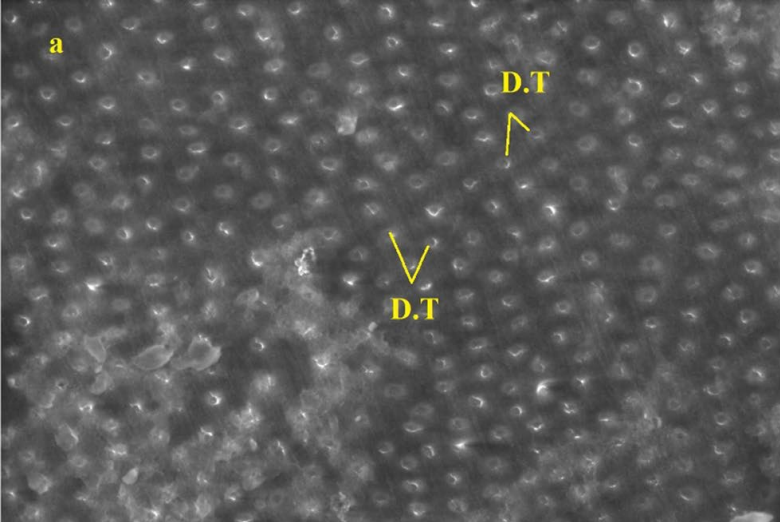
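This is a dentin surface seen from above, covered with the round openings of open dentinal tubules. The openings are densely packed and fairly evenly spaced across most of the field. Towards the lower left the surface is partly covered by patchy, granular material that blurs or hides some of the openings. A few small irregular particles lie scattered on the surface.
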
